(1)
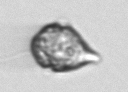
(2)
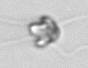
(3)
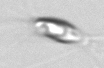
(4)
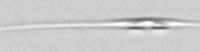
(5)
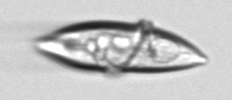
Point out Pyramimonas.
That is picture 2.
